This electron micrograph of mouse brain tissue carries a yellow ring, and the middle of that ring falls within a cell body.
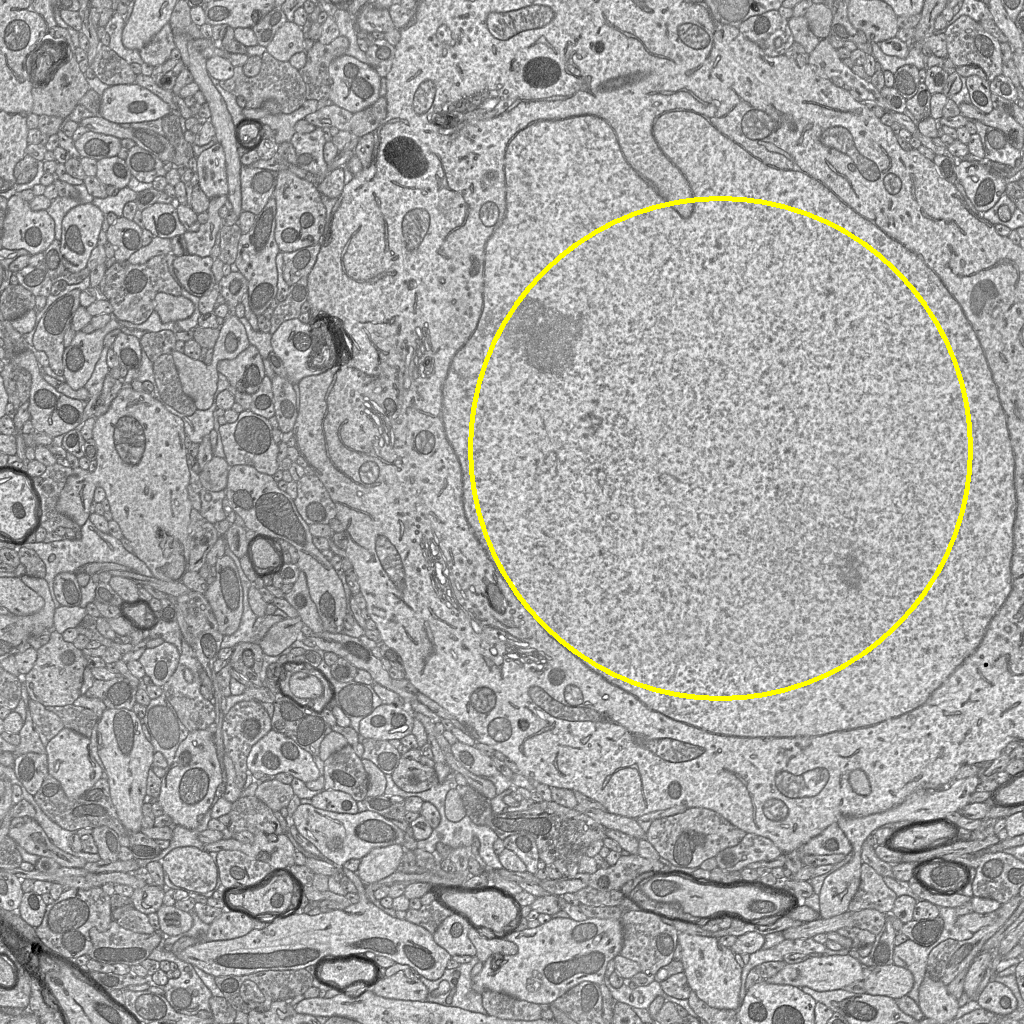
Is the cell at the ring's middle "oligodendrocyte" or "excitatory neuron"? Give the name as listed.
excitatory neuron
